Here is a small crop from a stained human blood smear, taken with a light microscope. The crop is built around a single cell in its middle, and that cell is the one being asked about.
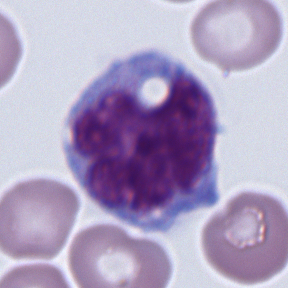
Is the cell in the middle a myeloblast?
yes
